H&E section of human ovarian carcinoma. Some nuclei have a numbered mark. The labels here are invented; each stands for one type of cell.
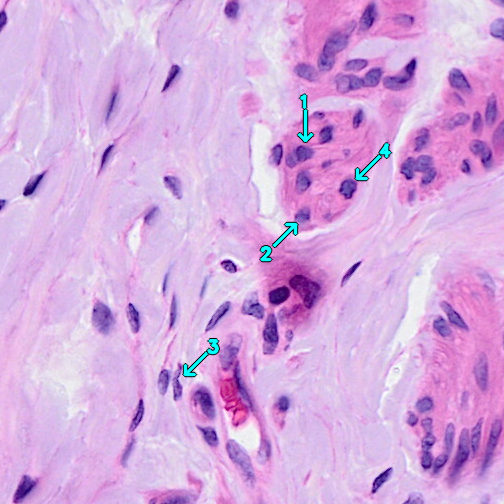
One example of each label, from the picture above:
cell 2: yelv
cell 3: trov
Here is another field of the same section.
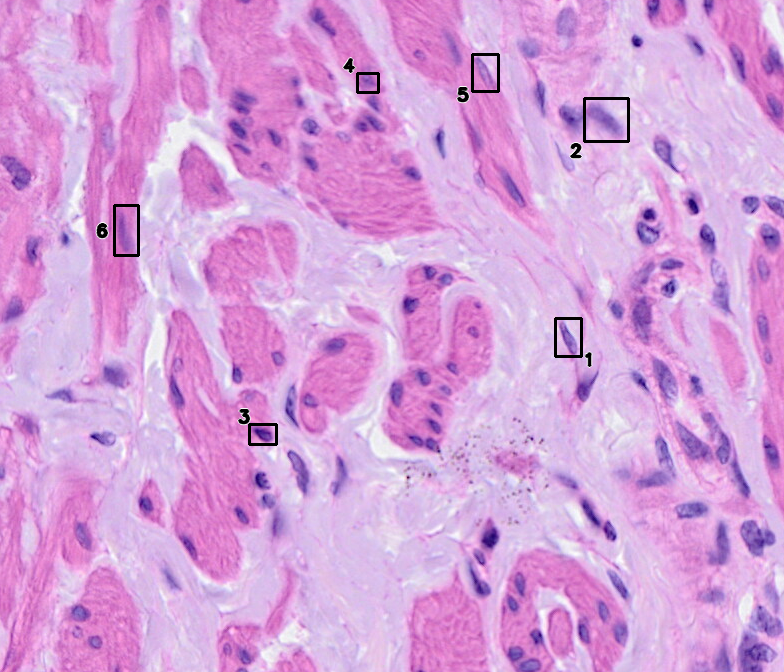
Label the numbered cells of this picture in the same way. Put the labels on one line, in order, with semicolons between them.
trov; trov; yelv; yelv; yelv; yelv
